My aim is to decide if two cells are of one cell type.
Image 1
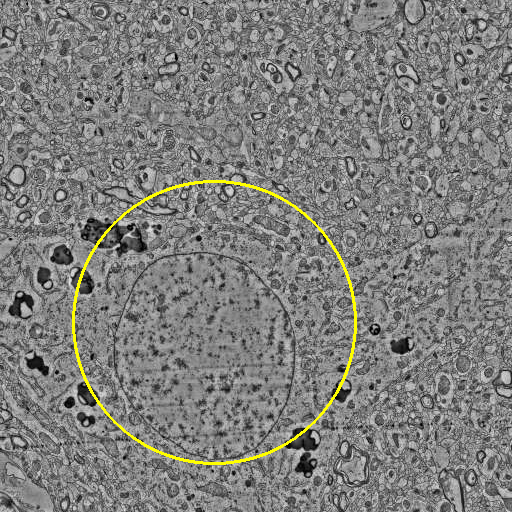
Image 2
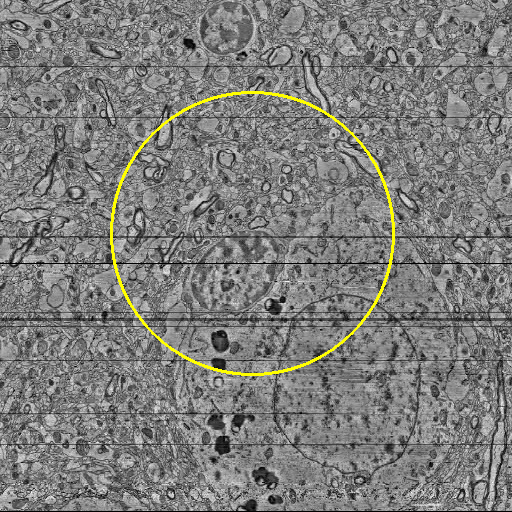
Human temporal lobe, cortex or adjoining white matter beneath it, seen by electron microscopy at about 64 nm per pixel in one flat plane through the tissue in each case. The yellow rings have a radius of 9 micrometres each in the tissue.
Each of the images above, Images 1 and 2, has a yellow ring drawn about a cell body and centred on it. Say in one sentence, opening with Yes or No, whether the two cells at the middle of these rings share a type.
No, in Images 1 and 2 the cells at the middle of the rings fall into two types.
